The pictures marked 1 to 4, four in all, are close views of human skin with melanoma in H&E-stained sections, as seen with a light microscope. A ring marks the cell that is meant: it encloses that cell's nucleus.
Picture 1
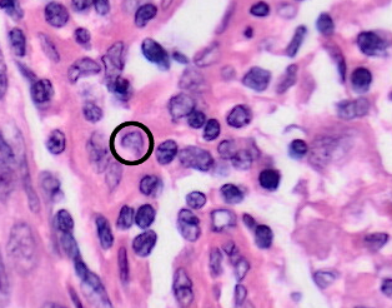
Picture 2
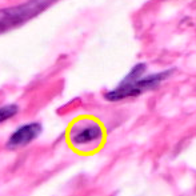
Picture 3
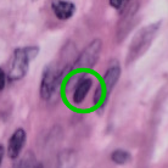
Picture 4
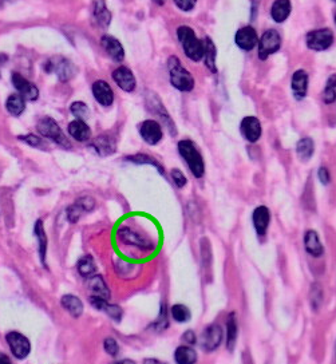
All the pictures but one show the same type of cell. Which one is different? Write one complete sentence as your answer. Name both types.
The others show endothelial cells, but picture 2 shows a “macrophage or monocyte”.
